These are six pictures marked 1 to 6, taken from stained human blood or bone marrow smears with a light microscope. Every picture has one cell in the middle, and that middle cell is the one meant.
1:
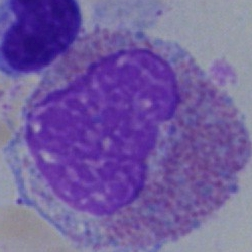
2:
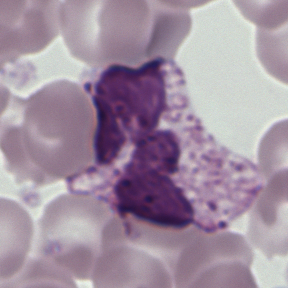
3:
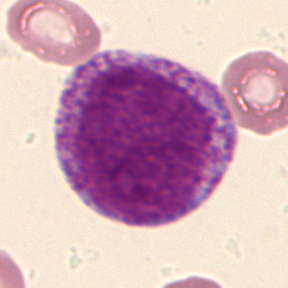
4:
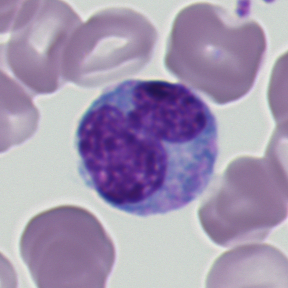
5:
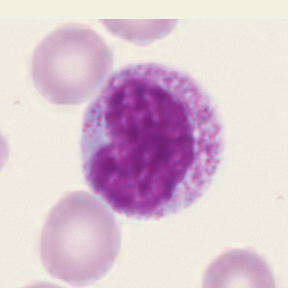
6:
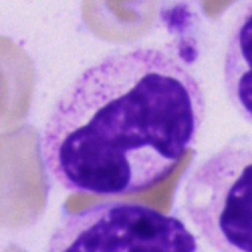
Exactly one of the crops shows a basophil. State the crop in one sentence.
Crop 2 is the crop in which a basophil is shown.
